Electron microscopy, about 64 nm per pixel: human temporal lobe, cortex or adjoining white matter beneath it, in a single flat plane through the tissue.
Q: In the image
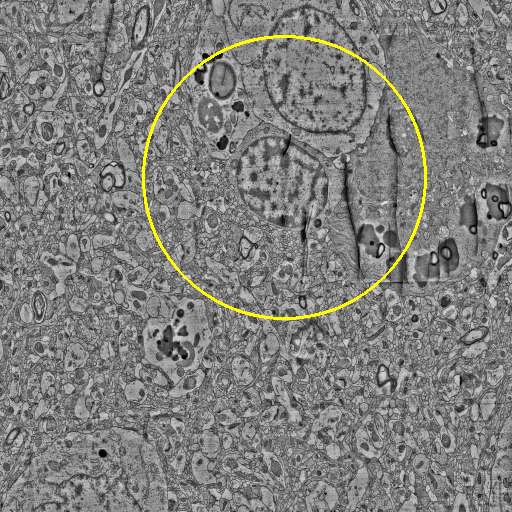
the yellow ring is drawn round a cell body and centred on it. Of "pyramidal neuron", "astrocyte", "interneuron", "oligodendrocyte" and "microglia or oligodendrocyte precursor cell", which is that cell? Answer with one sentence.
The cell centred in the ring is an oligodendrocyte.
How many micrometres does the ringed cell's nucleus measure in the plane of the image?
The ringed cell's nucleus measures approximately 6 by 5 micrometres in this plane.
